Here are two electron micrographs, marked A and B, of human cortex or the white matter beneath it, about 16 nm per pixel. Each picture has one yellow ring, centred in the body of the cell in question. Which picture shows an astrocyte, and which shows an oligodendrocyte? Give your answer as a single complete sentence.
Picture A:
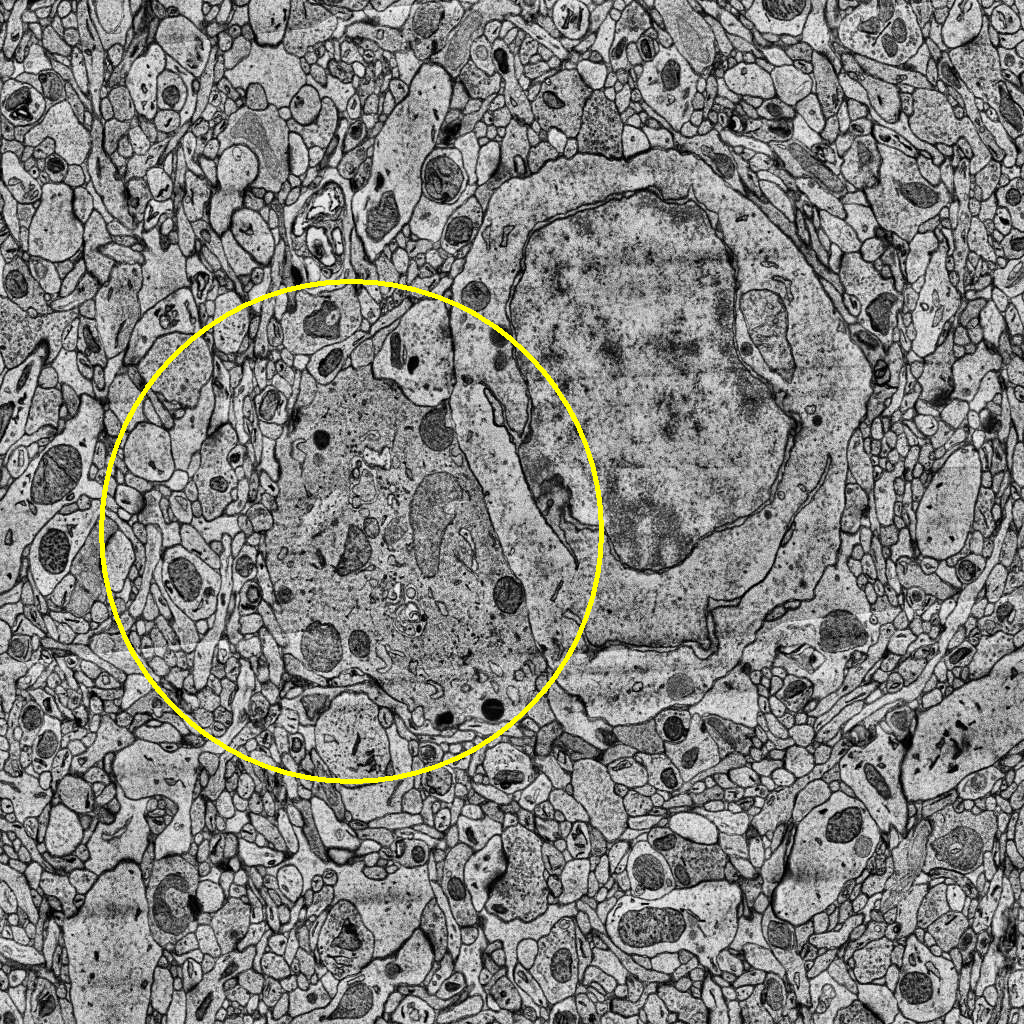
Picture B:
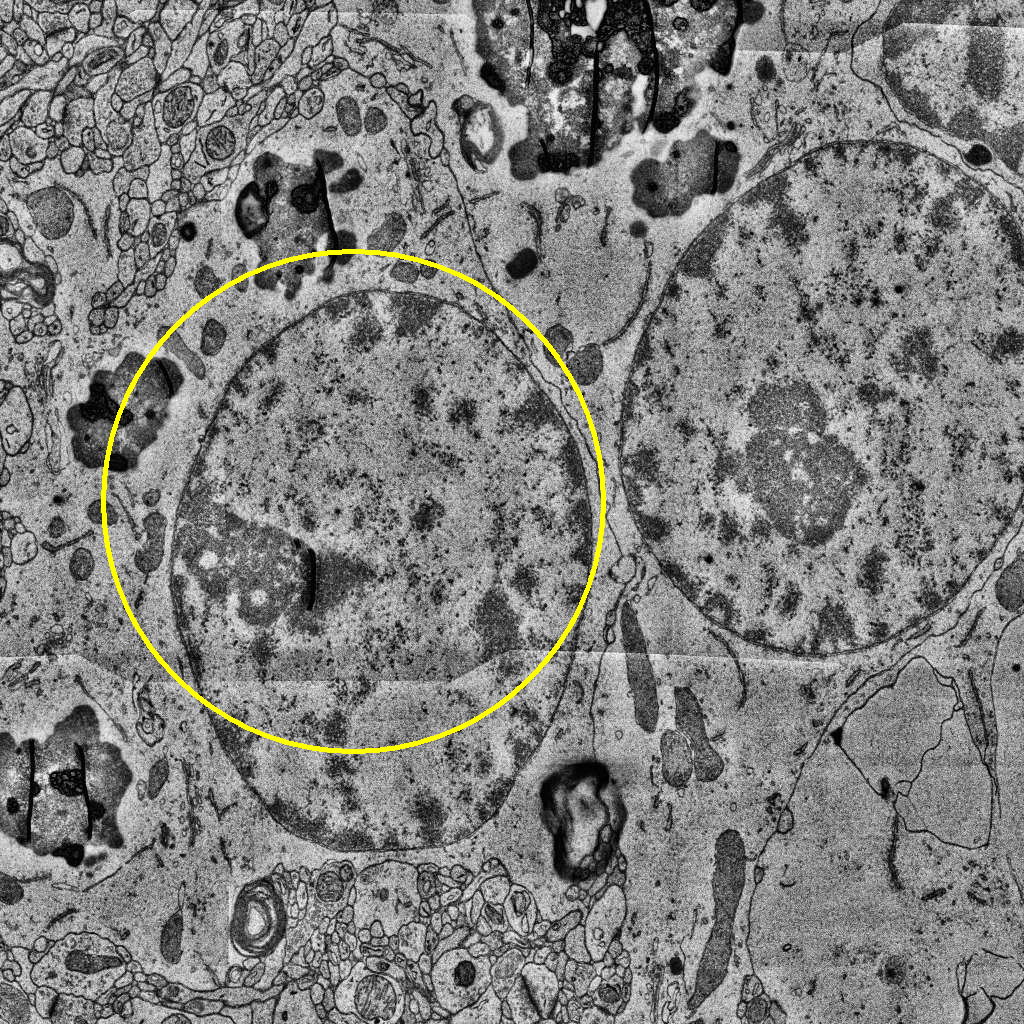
In picture A the cell is an oligodendrocyte; in picture B, an astrocyte.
